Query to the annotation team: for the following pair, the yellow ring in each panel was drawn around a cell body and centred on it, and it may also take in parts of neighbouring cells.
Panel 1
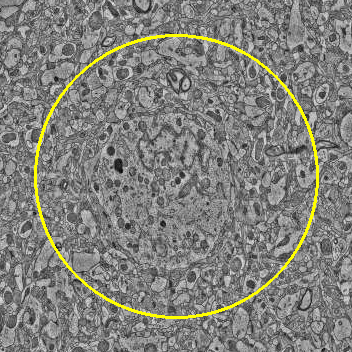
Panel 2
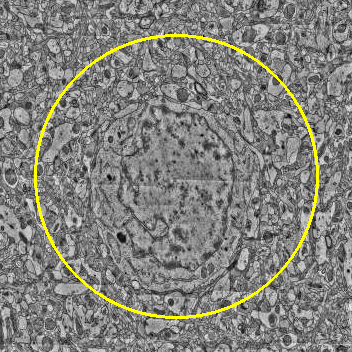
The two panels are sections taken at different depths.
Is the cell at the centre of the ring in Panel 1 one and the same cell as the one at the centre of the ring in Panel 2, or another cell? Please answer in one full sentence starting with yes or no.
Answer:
Yes, the two rings mark one cell and not separate cells.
